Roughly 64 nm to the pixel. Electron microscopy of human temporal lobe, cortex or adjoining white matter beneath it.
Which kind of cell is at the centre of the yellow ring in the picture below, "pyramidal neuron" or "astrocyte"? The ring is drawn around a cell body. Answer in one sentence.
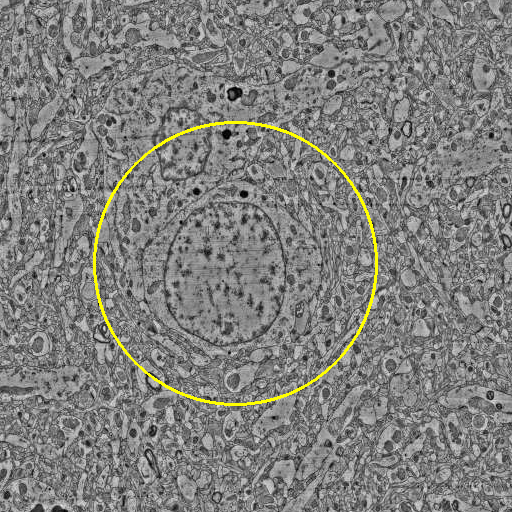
The ring's central cell is a pyramidal neuron.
